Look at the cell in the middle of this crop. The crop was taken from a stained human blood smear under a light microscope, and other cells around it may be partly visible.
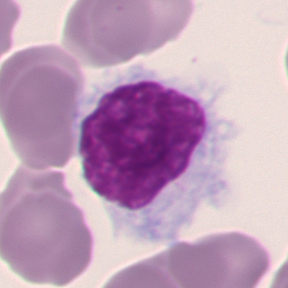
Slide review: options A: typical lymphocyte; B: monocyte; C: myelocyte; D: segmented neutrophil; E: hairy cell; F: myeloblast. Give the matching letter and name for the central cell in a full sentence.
The cell in the center of this crop is a hairy cell, so option E is the one to pick.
